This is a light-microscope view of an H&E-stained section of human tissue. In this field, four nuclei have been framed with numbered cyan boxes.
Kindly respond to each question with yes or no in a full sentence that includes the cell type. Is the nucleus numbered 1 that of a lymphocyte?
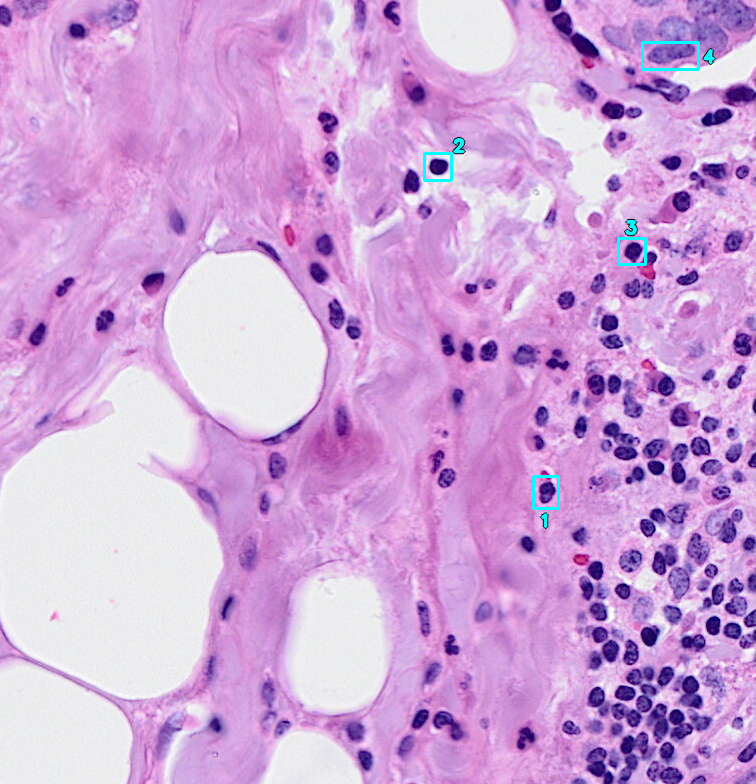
Yes, in this section the cell numbered 1 is a lymphocyte.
